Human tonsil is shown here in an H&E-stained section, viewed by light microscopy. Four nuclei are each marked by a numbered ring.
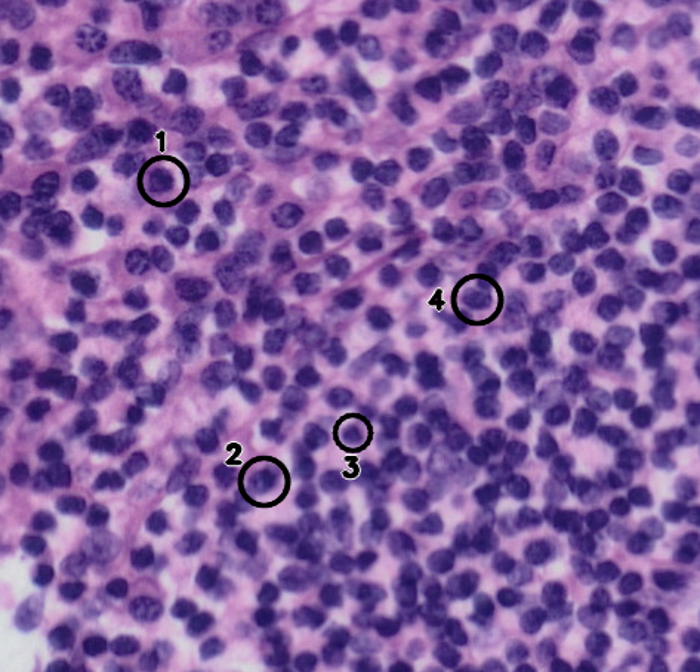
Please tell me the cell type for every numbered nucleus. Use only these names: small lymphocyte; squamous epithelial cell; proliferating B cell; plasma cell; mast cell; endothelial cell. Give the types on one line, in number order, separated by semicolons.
plasma cell; small lymphocyte; small lymphocyte; small lymphocyte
